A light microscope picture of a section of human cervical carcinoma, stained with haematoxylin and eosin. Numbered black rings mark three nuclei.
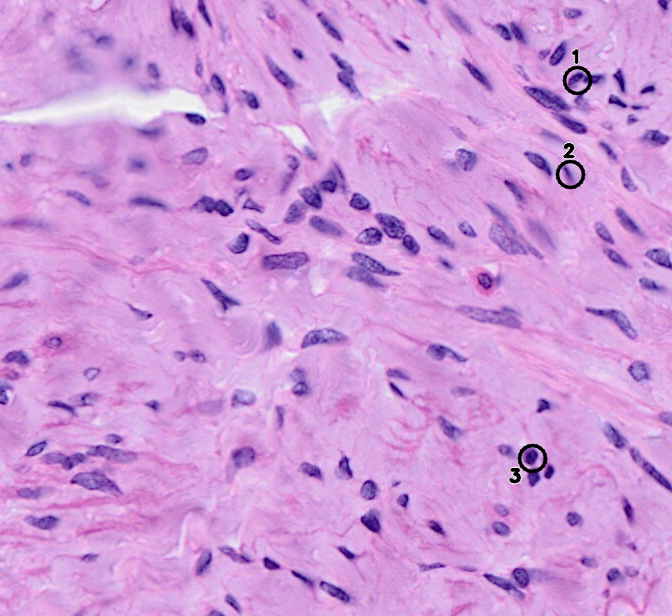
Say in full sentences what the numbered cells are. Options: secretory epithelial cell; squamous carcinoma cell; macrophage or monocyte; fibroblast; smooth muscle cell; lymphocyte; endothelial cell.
Cell 1 is a fibroblast, cell 2 is a fibroblast and cell 3 is a lymphocyte.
